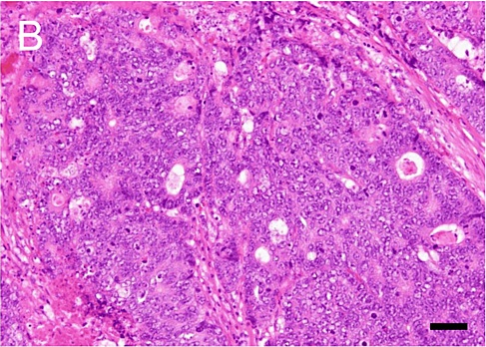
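The tumor cells are crowded in largely solid sheets, with enlarged, purple, irregular nuclei and a moderate amount of pink cytoplasm. Only small, scattered gland-like lumina open within the sheets, some containing pale material, so gland formation is incomplete. The solid growth with few glands fits a moderately to poorly differentiated tumor. Spindle-shaped stromal cells run along the edges of the nests.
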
